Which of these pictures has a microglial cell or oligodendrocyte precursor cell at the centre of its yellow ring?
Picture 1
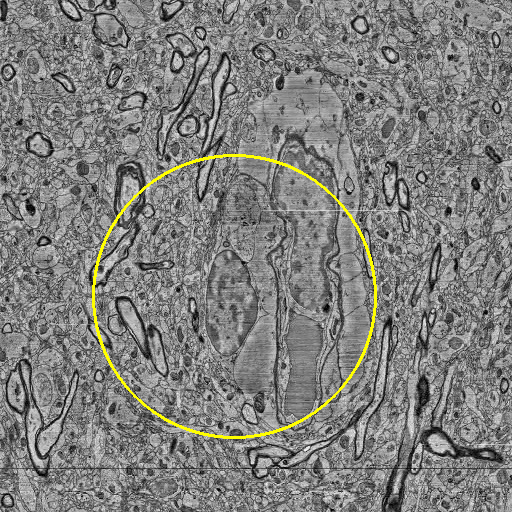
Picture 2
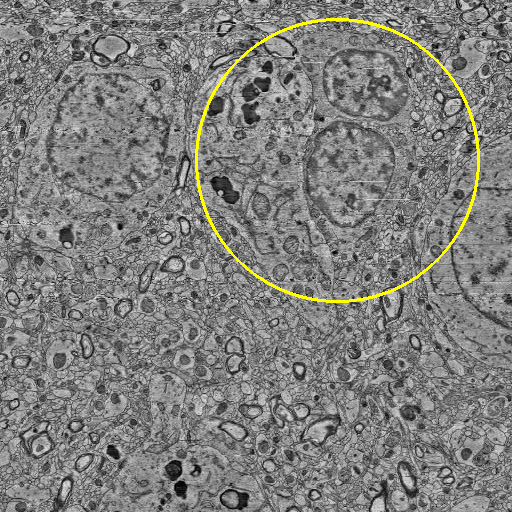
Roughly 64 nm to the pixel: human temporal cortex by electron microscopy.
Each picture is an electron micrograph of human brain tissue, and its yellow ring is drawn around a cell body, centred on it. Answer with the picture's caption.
Picture 1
